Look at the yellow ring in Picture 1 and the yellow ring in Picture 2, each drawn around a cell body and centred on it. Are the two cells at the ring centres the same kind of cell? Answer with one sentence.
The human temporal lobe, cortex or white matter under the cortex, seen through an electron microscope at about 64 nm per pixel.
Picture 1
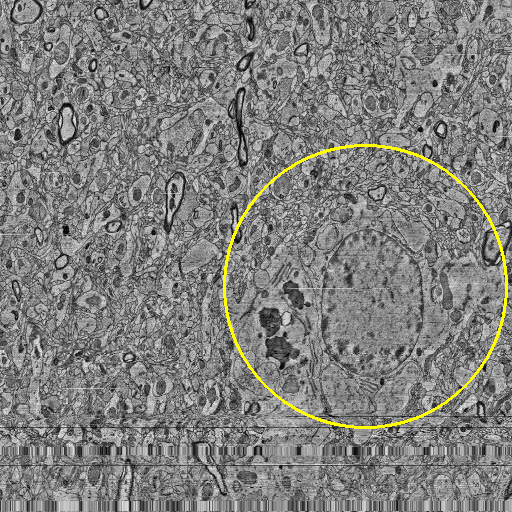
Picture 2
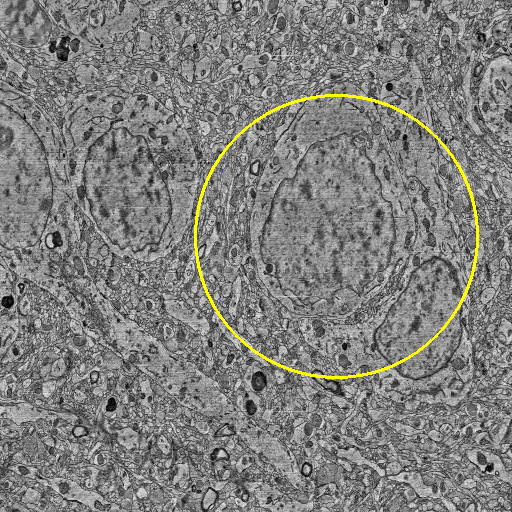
No, they are cells of two kinds.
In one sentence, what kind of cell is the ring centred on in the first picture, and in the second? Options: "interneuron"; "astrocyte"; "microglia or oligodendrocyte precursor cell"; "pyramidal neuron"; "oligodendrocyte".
The cell at the centre of the second ring is an interneuron; the first ring's cell is an astrocyte.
